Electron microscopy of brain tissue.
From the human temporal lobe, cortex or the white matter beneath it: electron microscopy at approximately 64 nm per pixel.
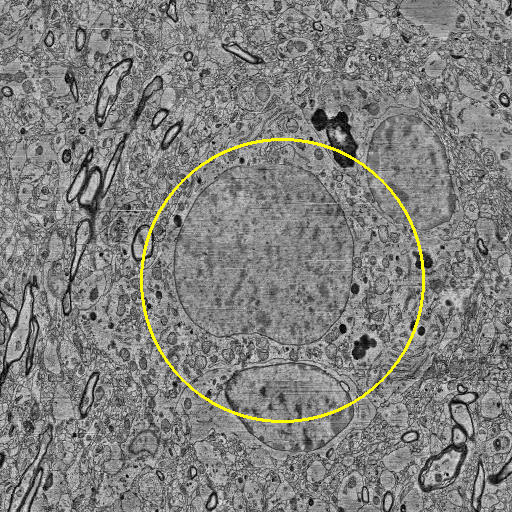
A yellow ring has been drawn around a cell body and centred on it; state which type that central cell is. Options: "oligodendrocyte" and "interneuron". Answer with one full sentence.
The cell at the middle of the yellow ring is an interneuron in this picture.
